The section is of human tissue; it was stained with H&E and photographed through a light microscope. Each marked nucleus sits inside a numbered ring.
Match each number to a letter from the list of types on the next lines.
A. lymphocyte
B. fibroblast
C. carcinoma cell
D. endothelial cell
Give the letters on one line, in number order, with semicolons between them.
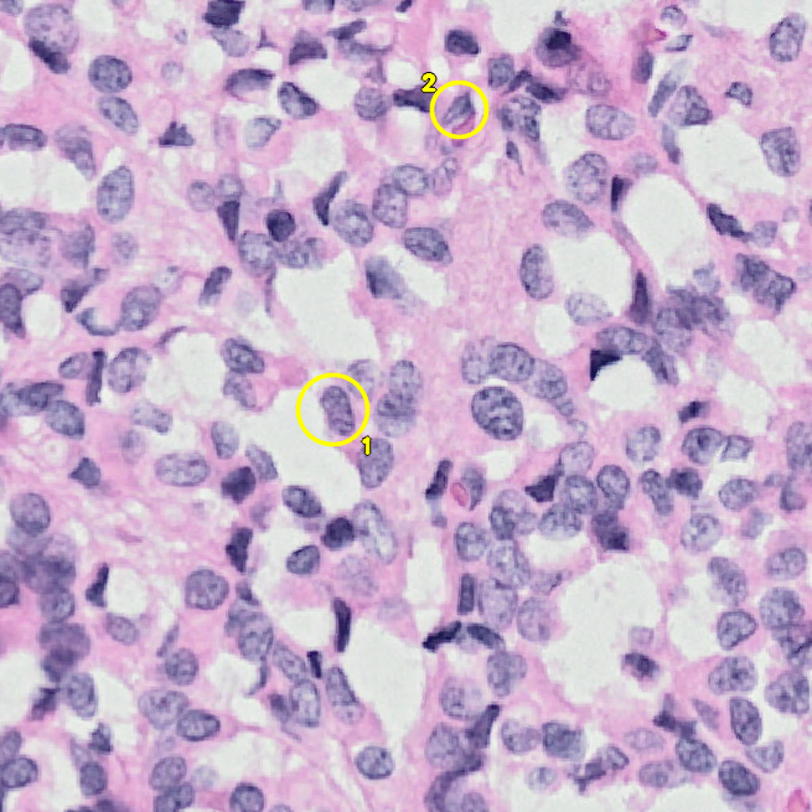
C; D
